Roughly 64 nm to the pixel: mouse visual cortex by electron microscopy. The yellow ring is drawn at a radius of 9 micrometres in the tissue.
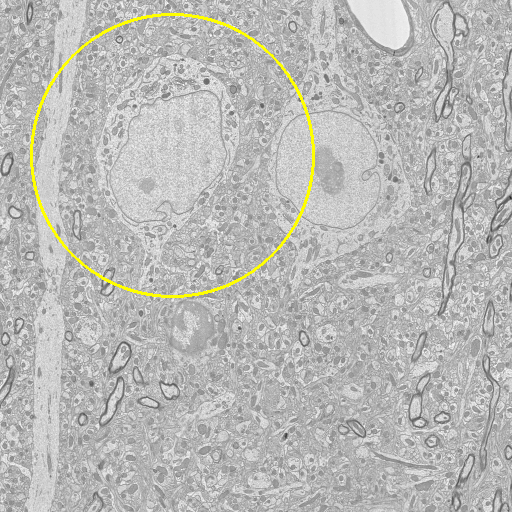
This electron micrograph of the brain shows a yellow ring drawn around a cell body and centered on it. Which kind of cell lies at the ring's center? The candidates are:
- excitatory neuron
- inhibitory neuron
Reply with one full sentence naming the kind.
The cell lying at the ring's center in this micrograph is an inhibitory neuron.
